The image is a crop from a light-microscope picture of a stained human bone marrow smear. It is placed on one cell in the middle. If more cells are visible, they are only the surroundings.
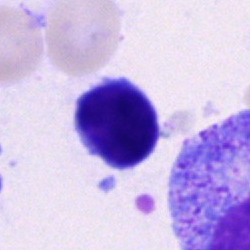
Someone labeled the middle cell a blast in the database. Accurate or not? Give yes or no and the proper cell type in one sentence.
No, the cell in the centre of the crop is a lymphocyte as opposed to a blast.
